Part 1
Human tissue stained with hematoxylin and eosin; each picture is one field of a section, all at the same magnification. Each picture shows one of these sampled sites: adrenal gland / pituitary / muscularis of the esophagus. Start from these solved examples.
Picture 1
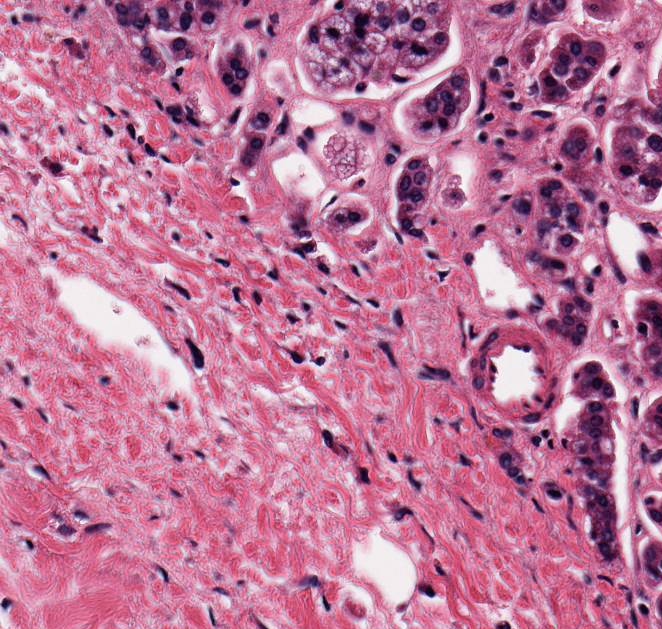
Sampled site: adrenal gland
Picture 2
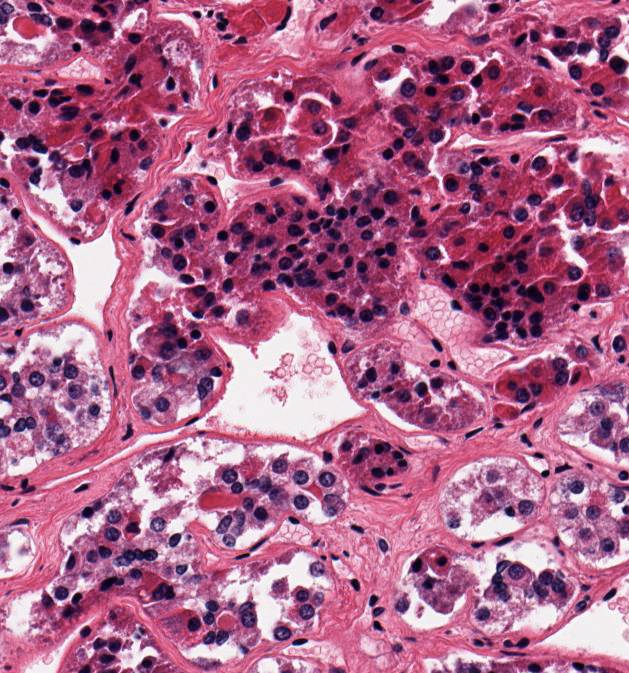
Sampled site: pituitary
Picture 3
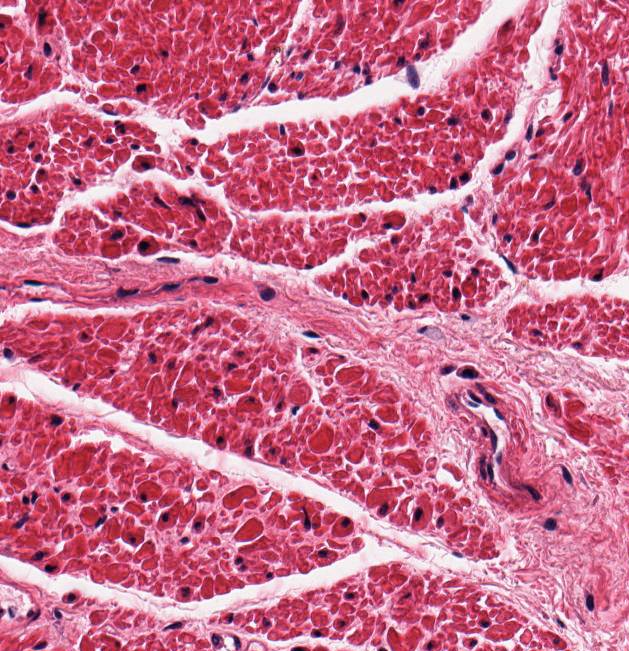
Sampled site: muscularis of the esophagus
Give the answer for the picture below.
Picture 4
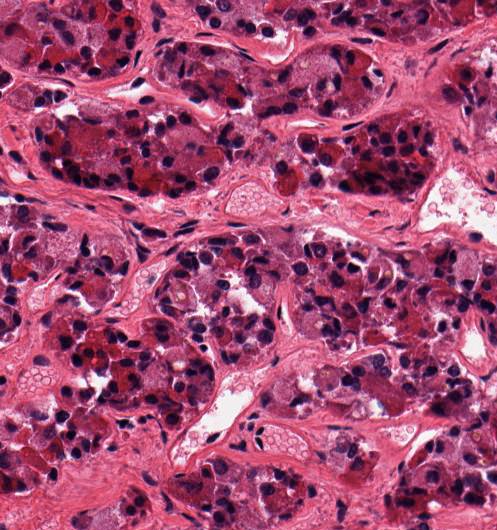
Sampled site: pituitary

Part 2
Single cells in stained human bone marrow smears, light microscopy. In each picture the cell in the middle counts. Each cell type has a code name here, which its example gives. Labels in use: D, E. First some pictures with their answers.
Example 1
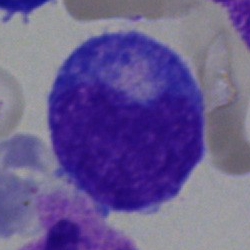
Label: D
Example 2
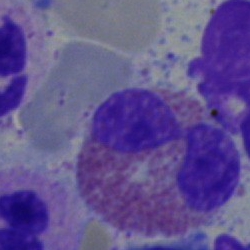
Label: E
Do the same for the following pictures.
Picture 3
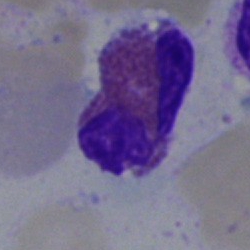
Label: E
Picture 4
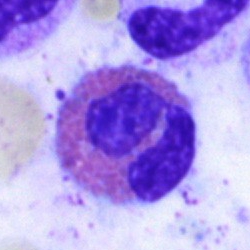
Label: E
